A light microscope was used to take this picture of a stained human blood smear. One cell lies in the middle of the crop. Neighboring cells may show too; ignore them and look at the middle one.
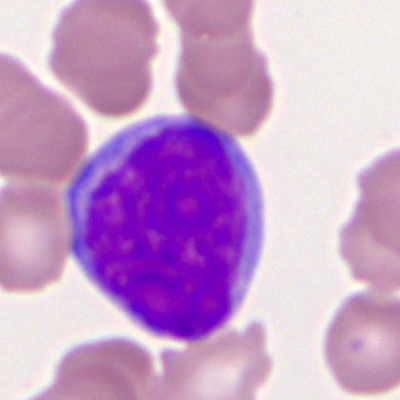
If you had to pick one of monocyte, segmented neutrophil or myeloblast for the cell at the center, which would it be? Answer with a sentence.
By type, the central cell of the crop is a myeloblast.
